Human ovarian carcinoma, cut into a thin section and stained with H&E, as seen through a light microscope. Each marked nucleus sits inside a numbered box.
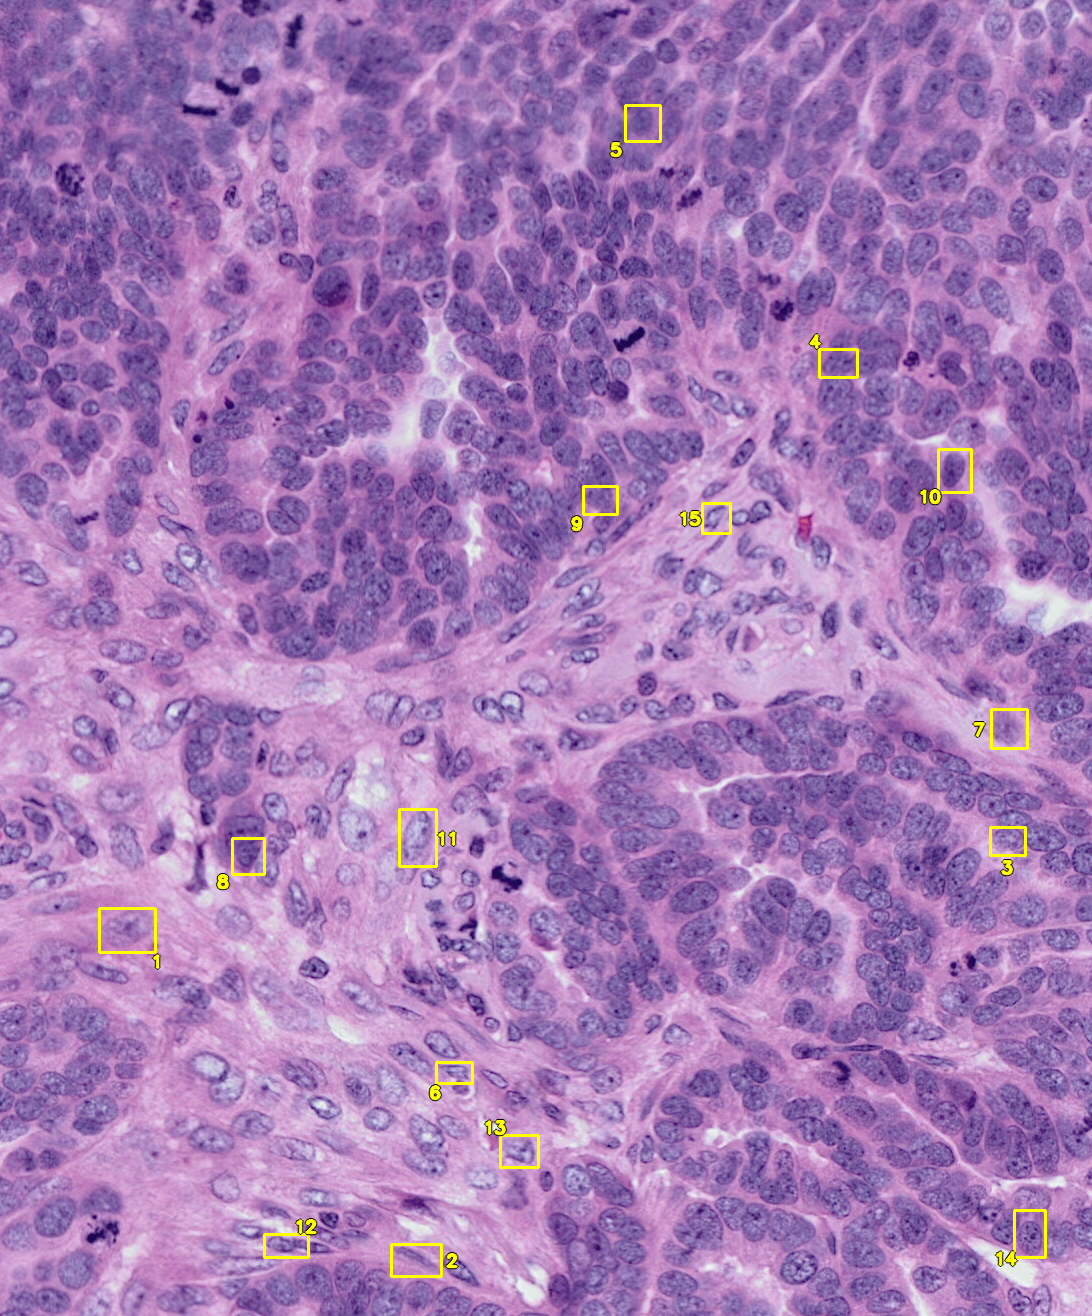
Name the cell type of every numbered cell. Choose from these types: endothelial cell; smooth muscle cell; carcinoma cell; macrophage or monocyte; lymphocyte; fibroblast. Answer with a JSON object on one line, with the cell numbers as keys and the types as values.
{"1": "fibroblast", "2": "fibroblast", "3": "carcinoma cell", "4": "carcinoma cell", "5": "carcinoma cell", "6": "fibroblast", "7": "fibroblast", "8": "carcinoma cell", "9": "carcinoma cell", "10": "carcinoma cell", "11": "fibroblast", "12": "fibroblast", "13": "fibroblast", "14": "carcinoma cell", "15": "fibroblast"}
